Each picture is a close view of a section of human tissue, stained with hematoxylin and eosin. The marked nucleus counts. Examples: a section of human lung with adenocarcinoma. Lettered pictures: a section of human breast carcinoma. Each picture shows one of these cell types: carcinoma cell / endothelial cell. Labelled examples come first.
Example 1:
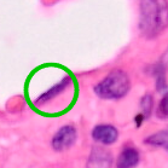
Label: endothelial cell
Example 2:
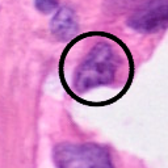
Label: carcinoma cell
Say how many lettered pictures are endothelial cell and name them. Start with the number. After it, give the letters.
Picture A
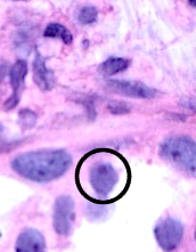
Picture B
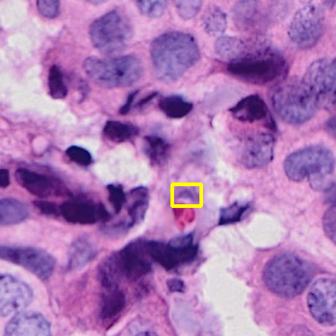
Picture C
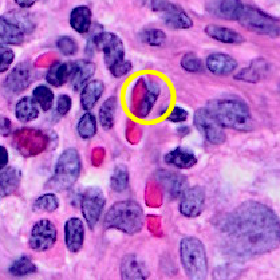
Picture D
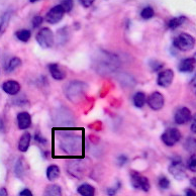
Count: 3 (B, C, D)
